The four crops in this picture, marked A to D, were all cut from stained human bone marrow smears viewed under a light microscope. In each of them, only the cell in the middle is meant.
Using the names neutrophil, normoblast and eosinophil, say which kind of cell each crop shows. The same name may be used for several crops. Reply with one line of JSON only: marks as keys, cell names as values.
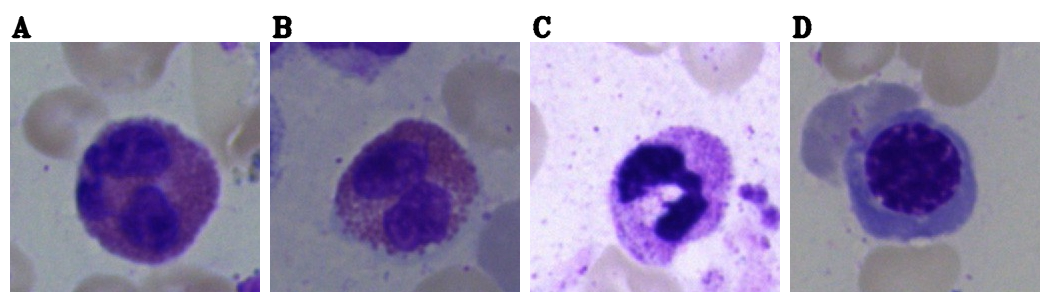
{"A": "eosinophil", "B": "eosinophil", "C": "neutrophil", "D": "normoblast"}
